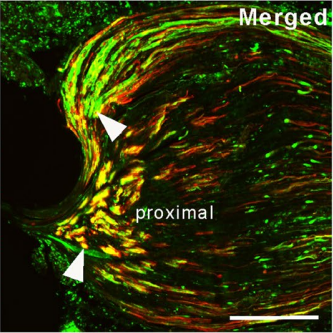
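Green and red labelled fibres run in parallel along the nerve and crowd densely at the edge of the stump, where the two colours overlap as yellow in swollen, clustered profiles. Scattered small green dots lie among the fibres farther from the stump.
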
